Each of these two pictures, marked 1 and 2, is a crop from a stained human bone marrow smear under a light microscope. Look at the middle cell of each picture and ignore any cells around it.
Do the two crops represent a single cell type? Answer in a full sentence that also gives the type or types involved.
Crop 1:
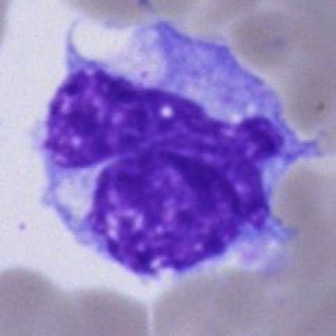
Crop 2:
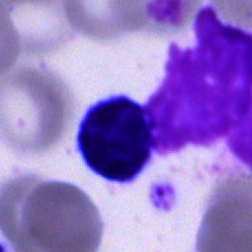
No, a lymphocyte is the cell in crop 2, and crop 1 contains a monocyte.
